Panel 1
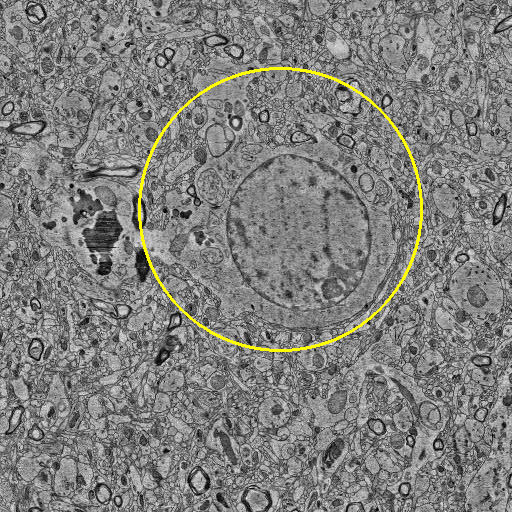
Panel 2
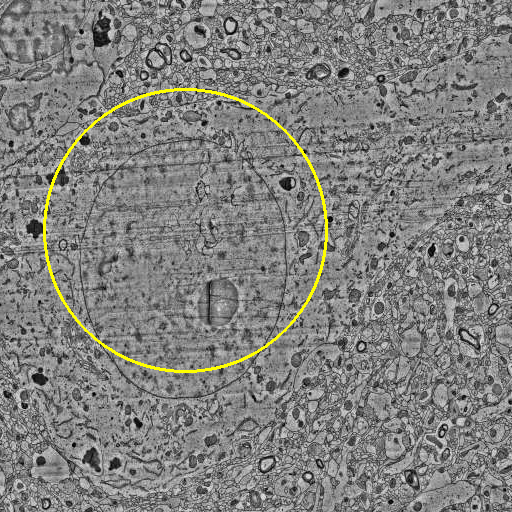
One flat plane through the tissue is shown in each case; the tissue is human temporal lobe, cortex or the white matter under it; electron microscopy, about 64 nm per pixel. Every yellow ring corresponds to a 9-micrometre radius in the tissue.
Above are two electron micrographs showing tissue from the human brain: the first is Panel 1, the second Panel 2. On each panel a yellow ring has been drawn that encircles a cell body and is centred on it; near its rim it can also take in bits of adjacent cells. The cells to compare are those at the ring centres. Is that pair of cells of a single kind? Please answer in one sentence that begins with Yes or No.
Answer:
No, the ring-centred cells of Panel 1 and Panel 2 belong to two kinds.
